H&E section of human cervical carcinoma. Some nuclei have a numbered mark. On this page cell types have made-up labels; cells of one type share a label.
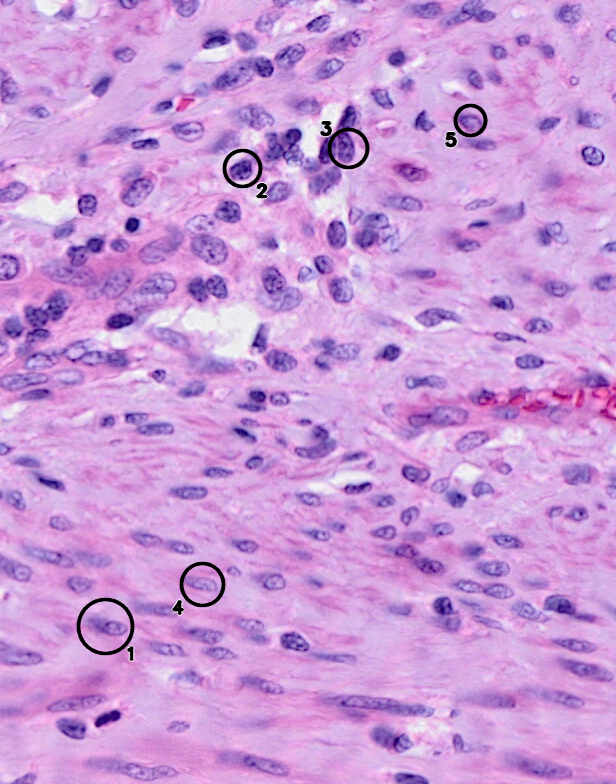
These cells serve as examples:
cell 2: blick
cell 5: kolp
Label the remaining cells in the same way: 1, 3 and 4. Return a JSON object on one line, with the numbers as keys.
{"1": "kolp", "3": "blick", "4": "kolp"}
